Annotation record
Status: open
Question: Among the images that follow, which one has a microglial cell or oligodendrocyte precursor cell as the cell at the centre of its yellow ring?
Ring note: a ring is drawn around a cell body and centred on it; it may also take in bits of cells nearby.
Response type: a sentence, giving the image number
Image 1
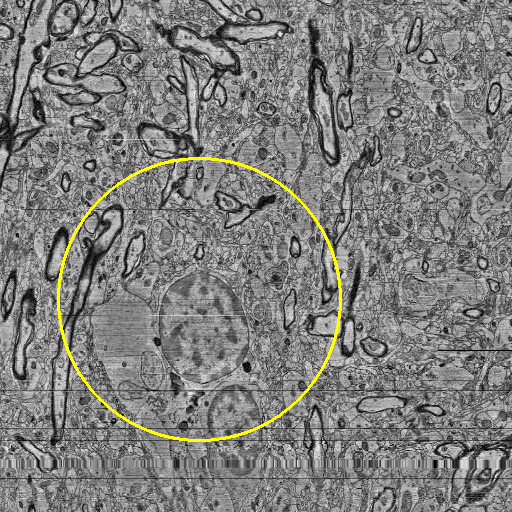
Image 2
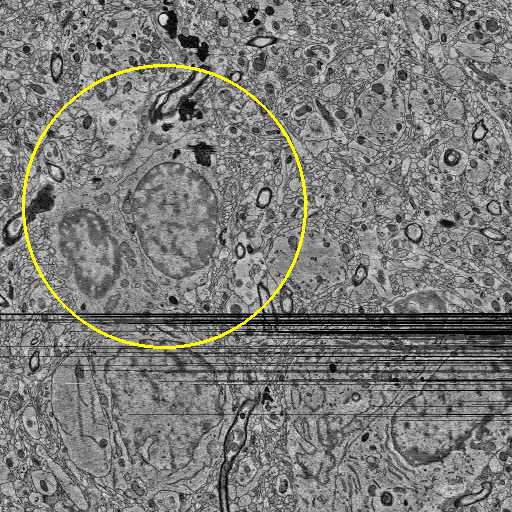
Image 1 shows it at the centre of its ring.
